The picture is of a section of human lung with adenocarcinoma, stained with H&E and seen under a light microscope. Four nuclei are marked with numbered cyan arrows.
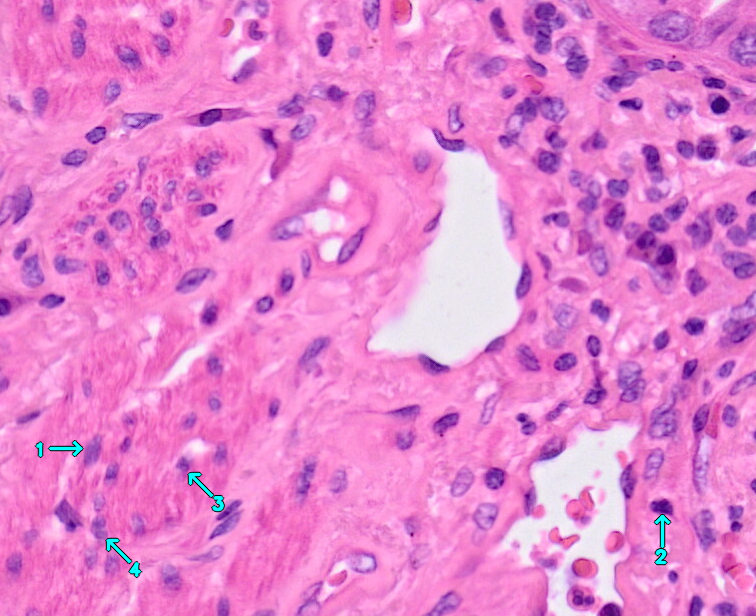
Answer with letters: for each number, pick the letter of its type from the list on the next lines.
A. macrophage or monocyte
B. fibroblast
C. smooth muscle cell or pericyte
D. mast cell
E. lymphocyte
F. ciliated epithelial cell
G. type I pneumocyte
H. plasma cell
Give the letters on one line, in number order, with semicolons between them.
C; E; C; C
